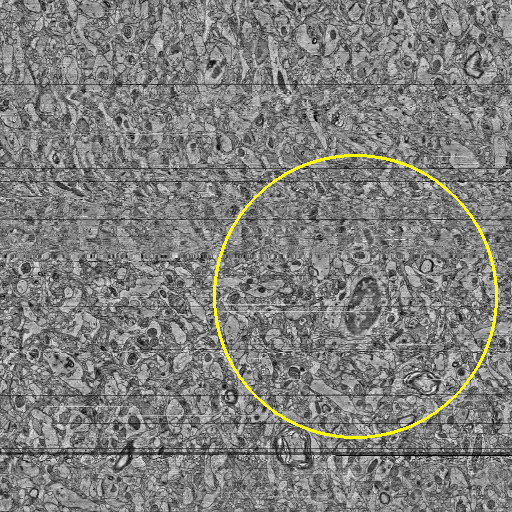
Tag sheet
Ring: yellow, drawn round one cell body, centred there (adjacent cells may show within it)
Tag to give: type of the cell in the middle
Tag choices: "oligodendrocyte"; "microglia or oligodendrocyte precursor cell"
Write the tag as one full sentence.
I tag the cell centred in the yellow ring as a microglial cell or oligodendrocyte precursor cell in this picture.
